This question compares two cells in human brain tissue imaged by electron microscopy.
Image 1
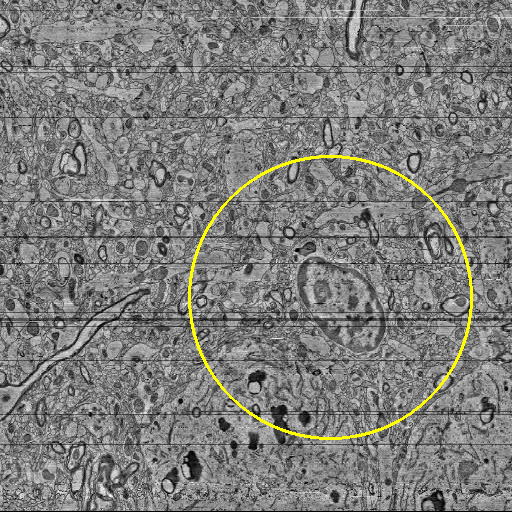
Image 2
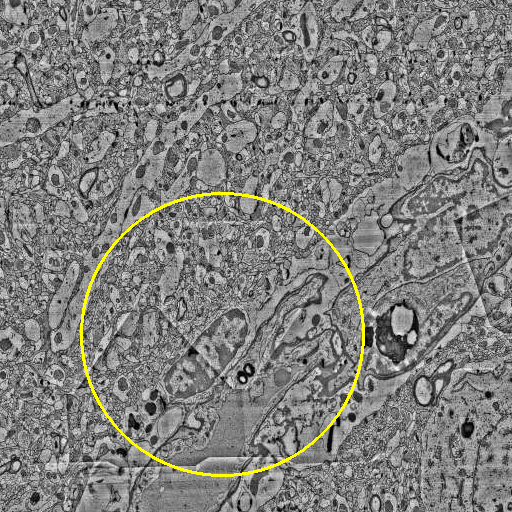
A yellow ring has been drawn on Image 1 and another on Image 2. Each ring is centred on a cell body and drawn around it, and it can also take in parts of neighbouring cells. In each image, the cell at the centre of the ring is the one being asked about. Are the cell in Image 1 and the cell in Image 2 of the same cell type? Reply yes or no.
yes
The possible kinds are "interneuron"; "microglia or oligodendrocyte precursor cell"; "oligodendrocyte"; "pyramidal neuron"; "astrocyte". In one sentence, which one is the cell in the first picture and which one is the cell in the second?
Each of the two cells is a microglial cell or oligodendrocyte precursor cell.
